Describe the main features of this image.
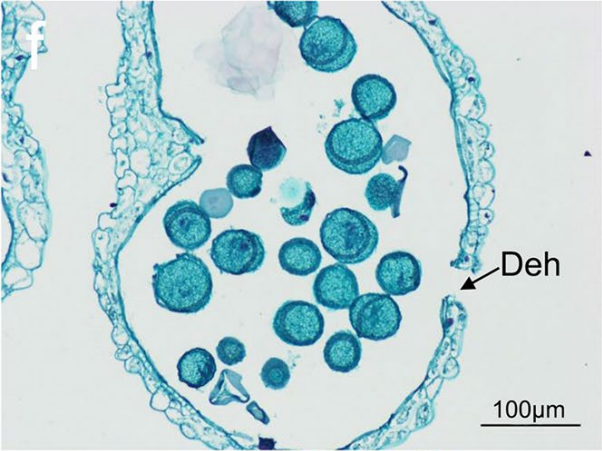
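This is a cross section through an anther locule, a rounded chamber whose wall is a few layers of thin-walled, vacuolated cells stained pale blue-green. On one side the wall is split open, where the anther releases its contents. Inside lie many pollen grains. Most are round and full, with dense, granular, deep blue-green contents and a clear outer rim. They vary somewhat in size. A few grains among them are shrivelled, folded or fragmented and stain paler or darker than the rest. The grains lie loosely, free from the wall, filling much of the chamber.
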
